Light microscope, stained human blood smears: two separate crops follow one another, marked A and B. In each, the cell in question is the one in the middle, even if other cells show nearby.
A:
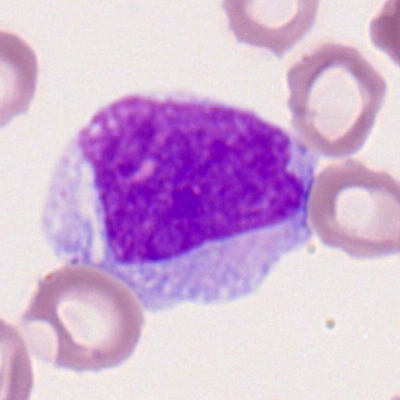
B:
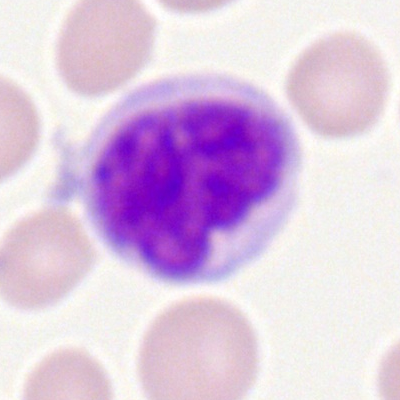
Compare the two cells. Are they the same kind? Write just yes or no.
yes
